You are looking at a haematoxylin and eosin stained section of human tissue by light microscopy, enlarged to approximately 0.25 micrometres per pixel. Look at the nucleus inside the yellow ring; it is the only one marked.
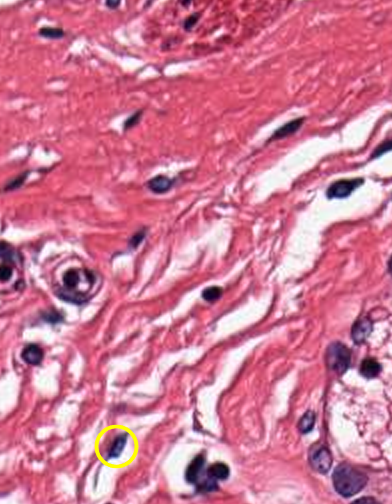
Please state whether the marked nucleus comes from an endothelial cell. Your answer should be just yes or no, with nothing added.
no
